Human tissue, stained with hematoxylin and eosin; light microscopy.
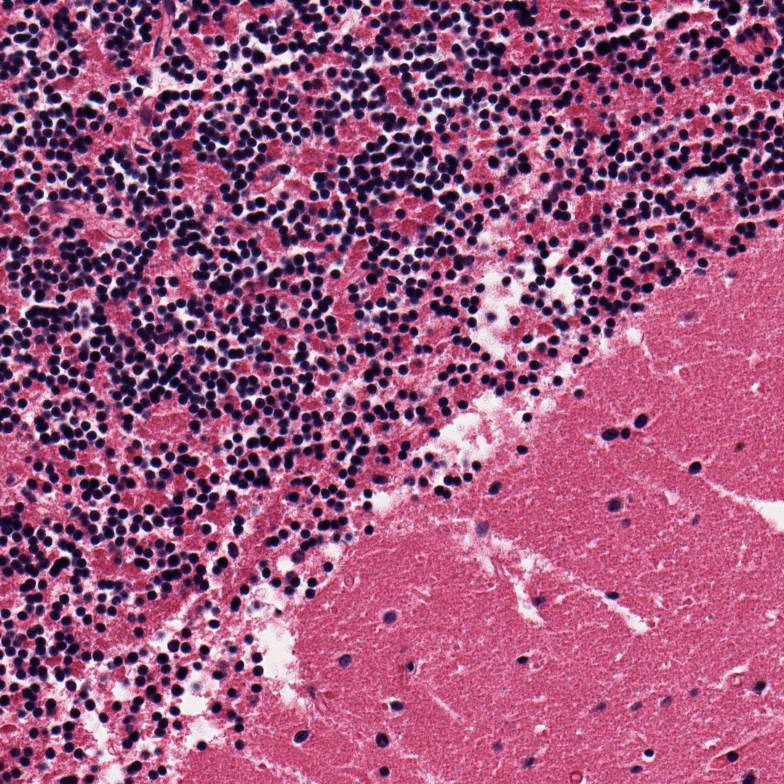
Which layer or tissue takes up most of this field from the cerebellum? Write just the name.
granular layer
